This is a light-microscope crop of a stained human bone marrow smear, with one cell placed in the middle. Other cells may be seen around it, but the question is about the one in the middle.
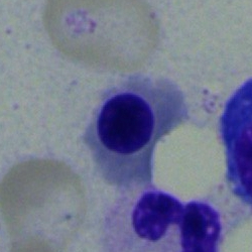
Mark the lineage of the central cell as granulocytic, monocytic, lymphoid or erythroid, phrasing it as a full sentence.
The cell in the middle falls under the erythroid lineage.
